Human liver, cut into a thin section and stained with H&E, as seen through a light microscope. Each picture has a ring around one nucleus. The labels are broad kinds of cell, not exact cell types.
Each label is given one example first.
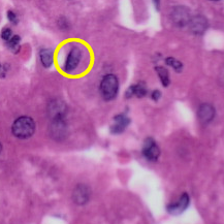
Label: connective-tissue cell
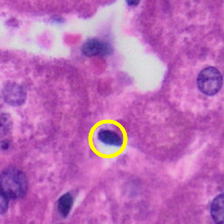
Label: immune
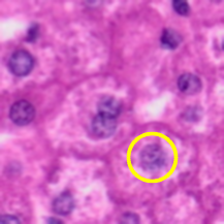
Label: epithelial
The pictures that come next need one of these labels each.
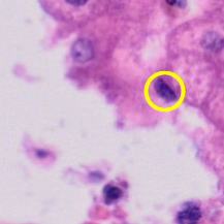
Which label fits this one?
connective-tissue cell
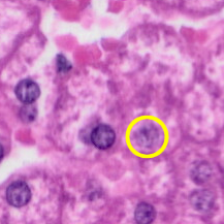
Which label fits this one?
epithelial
